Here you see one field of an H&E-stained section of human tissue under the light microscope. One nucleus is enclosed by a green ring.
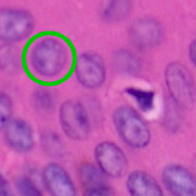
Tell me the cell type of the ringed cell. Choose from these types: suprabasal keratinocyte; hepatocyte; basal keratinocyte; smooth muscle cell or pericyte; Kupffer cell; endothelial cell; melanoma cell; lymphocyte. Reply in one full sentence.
In cellular terms, the ringed cell is a suprabasal keratinocyte.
